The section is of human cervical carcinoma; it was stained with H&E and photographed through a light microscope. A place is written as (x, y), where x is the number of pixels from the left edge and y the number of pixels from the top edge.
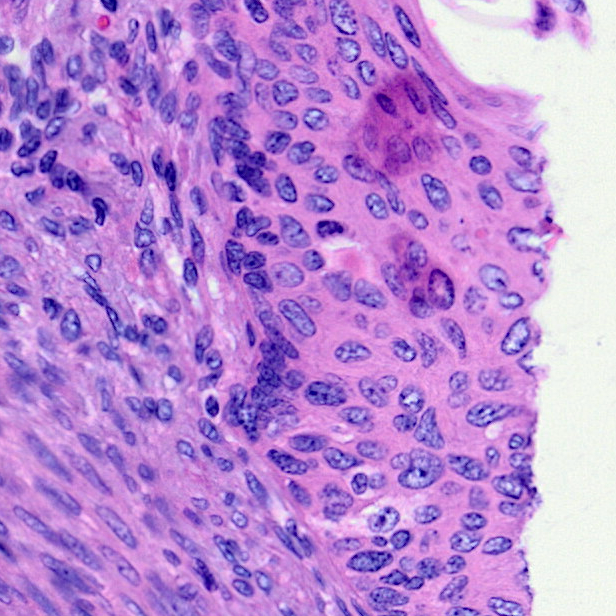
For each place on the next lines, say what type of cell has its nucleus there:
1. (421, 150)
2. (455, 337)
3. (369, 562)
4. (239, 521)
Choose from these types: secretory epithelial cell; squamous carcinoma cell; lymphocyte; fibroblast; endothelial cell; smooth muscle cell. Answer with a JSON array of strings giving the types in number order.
["squamous carcinoma cell", "squamous carcinoma cell", "squamous carcinoma cell", "smooth muscle cell"]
